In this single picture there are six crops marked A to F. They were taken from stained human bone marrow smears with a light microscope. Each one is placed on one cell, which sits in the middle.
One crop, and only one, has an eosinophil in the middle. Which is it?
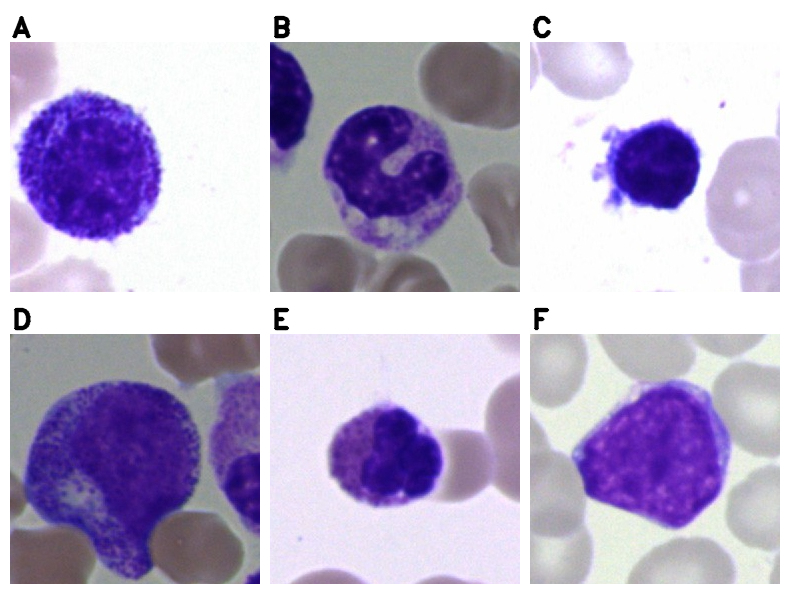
E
